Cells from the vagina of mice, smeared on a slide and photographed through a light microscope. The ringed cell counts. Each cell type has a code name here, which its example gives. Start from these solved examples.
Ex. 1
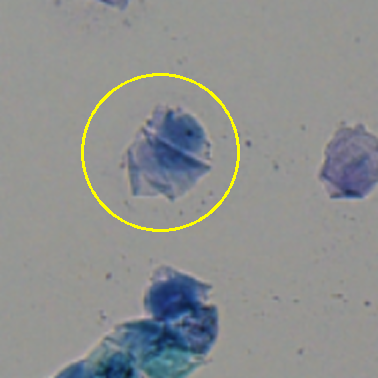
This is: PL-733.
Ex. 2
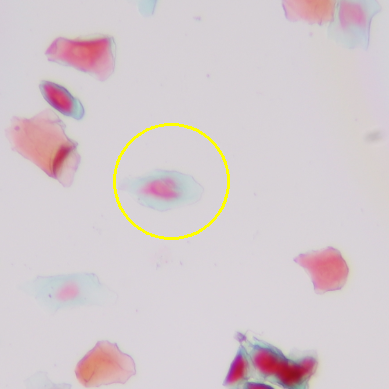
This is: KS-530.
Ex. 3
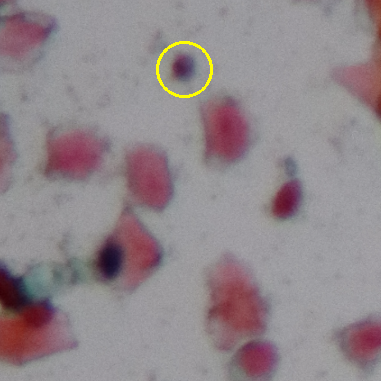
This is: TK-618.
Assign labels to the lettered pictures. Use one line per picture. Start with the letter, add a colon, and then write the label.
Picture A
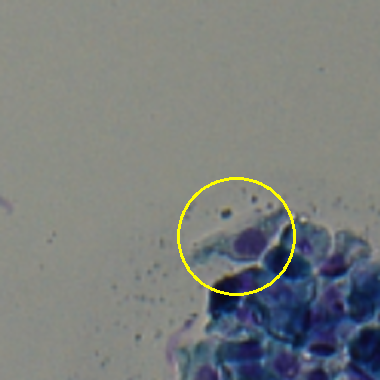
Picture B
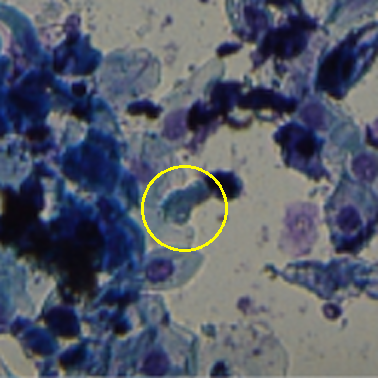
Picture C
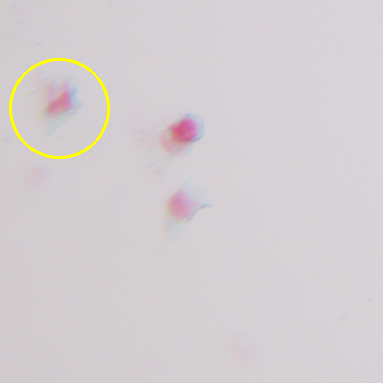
A: KS-530.
B: PL-733.
C: KS-530.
